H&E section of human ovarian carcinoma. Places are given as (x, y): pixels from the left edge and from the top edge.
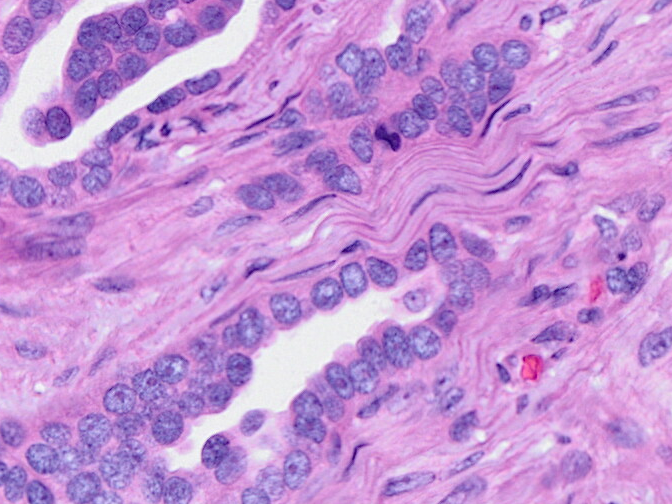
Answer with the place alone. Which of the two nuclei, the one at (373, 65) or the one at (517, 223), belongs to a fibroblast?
(517, 223)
